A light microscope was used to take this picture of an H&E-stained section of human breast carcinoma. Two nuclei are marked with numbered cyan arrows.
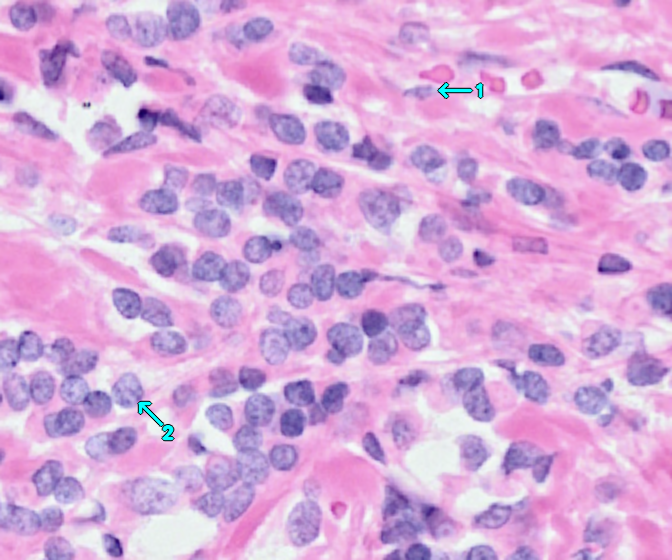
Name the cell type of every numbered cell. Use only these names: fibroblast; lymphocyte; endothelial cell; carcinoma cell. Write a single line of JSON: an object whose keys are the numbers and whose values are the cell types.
{"1": "endothelial cell", "2": "carcinoma cell"}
